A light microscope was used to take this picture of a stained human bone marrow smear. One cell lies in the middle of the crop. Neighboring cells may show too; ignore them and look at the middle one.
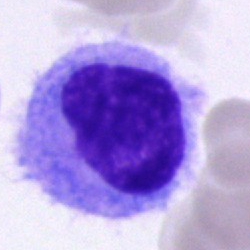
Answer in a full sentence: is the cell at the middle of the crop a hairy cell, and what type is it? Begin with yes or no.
Yes, the cell at the midpoint of the crop is a hairy cell.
